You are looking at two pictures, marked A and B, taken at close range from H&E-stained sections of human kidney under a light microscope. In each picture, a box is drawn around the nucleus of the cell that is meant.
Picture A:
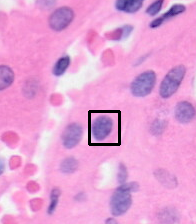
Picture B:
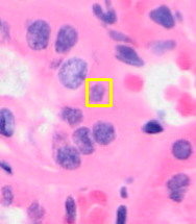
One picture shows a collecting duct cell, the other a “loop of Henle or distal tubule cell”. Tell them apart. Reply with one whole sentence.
Picture A shows a “loop of Henle or distal tubule cell” and picture B shows a collecting duct cell.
